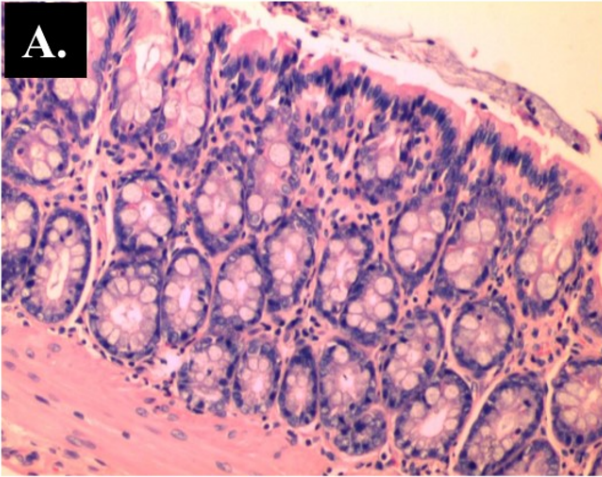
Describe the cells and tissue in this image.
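Rounded glands cut in cross section fill the mucosa, each lined by a single layer of columnar epithelial cells with dark purple, elongated nuclei set toward the base. Within the lining many cells are swollen by large, pale, rounded vacuoles of mucin that cluster around the small central lumen, giving each gland a bubbly look; these are goblet cells. Between the glands lies a thin lamina propria with scattered small nuclei. A band of pink smooth muscle runs along the lower edge, and a surface epithelium with closely packed dark nuclei borders the top.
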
